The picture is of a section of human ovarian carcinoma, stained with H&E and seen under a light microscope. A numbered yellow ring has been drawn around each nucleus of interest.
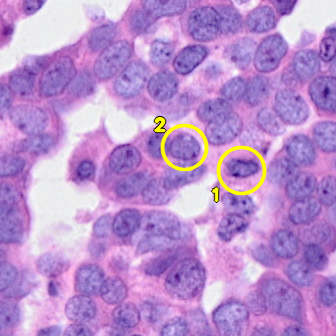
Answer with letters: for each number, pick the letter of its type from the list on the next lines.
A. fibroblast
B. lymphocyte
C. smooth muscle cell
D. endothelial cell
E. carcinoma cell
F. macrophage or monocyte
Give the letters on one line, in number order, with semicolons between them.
F; E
